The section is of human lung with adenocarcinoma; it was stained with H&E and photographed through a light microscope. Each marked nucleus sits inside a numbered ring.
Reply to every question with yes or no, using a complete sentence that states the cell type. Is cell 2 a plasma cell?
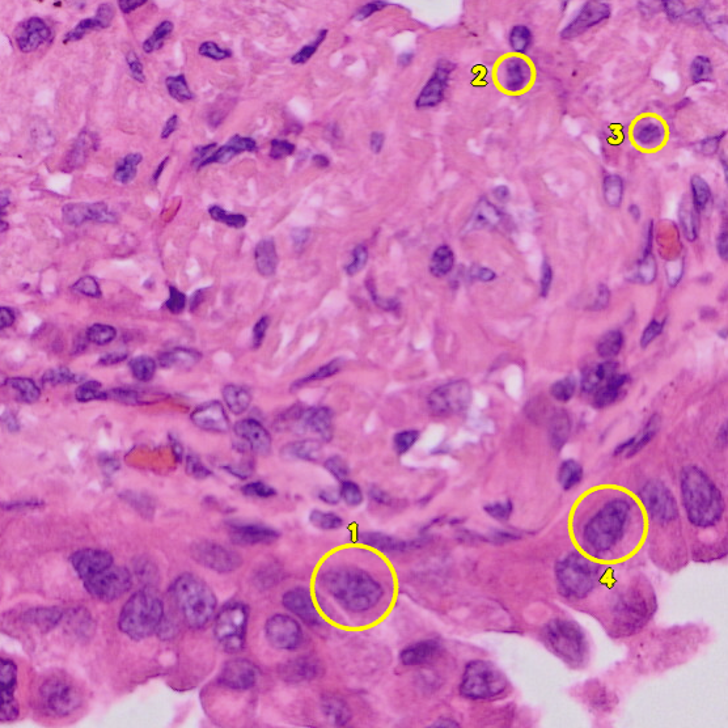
Yes, to put it simply, cell number 2 is a plasma cell.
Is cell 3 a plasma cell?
Yes, on this slide, the cell with number 3 is a plasma cell.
